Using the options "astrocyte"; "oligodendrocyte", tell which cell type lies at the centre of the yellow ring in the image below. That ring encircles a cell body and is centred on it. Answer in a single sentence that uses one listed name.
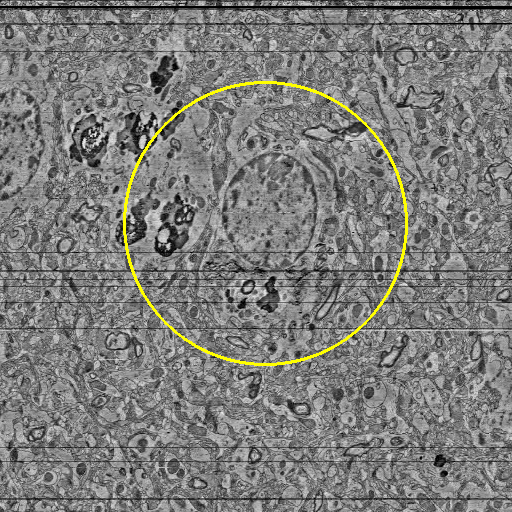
At the centre of the yellow ring lies the body of an astrocyte.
